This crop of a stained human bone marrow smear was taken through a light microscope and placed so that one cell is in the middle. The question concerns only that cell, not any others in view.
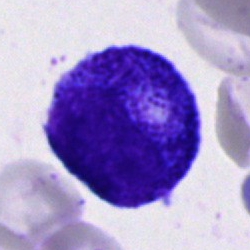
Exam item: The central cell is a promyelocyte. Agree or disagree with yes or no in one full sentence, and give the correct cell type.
Yes, the middle cell is properly termed a promyelocyte.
